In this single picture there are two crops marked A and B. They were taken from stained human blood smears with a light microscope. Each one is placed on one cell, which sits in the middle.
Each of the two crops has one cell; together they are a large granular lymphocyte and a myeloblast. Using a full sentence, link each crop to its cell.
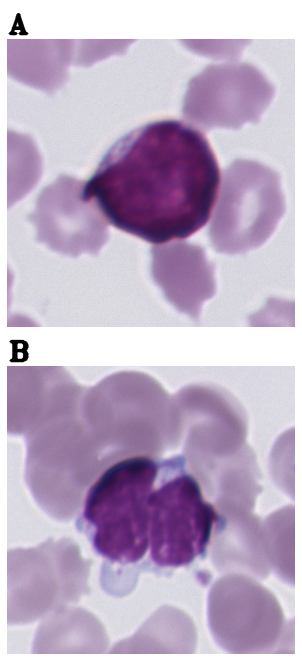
There is a myeloblast in crop A and a large granular lymphocyte in crop B.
